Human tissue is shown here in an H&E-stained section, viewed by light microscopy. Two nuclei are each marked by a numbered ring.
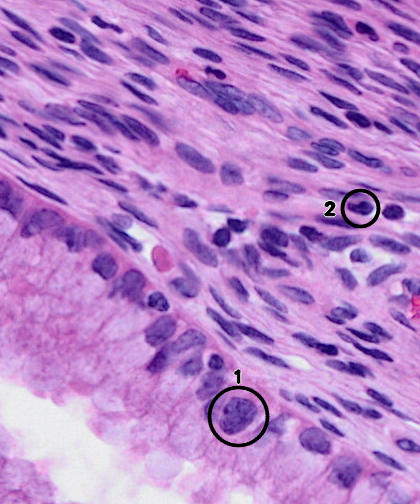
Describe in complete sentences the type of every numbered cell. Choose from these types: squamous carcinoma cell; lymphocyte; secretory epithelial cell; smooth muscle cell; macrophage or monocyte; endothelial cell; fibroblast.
Cell 1 is a secretory epithelial cell. Cell 2 is a lymphocyte.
